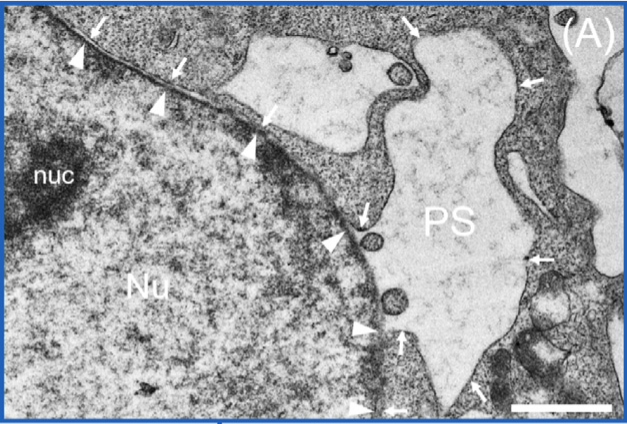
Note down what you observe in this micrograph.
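The nuclear envelope runs diagonally across the field, and its two membranes are separated by a pale gap that widens to the right into a large, irregular, electron-lucent perinuclear space. The outer membrane curves away from the nucleus and continues into the walls of pale cytoplasmic cavities.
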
